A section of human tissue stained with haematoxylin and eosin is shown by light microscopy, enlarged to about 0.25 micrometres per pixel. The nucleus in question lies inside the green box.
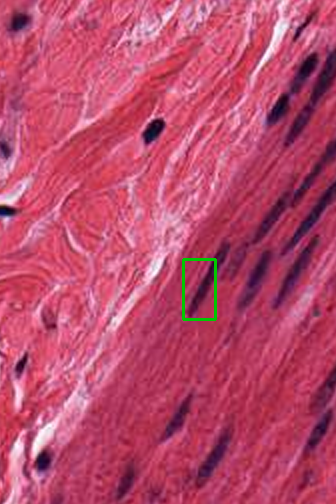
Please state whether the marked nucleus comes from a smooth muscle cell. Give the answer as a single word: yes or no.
yes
